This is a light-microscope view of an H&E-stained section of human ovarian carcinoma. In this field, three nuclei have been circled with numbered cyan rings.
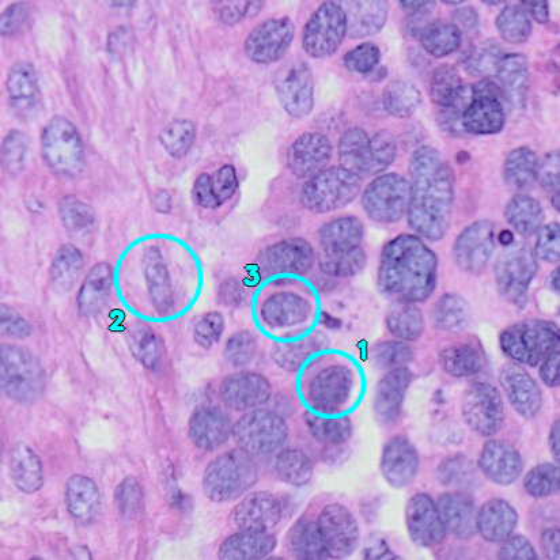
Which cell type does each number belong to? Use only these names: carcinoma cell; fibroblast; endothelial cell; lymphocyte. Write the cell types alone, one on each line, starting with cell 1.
carcinoma cell
fibroblast
carcinoma cell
